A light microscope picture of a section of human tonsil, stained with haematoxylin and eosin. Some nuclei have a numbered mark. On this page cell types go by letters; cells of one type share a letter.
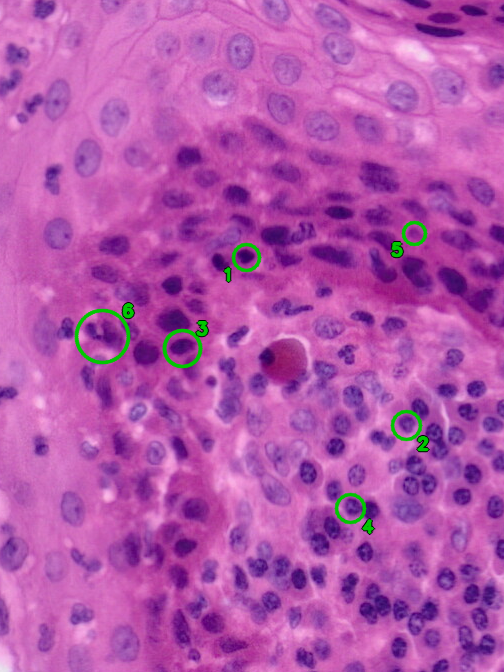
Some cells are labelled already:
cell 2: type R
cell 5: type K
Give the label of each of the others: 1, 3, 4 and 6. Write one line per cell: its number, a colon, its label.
1: type K
3: type K
4: type R
6: type K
